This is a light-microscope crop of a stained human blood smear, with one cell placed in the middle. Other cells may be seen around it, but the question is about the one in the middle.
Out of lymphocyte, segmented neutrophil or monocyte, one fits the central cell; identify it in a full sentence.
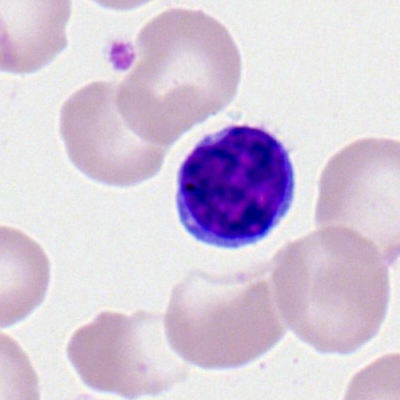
Present in the middle of the crop is a lymphocyte.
